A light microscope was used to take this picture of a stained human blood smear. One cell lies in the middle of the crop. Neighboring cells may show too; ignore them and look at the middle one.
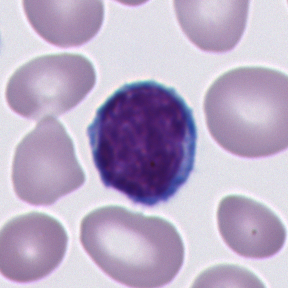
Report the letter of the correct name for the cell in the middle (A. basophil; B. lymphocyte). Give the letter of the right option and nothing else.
B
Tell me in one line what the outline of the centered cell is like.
No smooth contour is present; the border is ragged or extended into projections.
